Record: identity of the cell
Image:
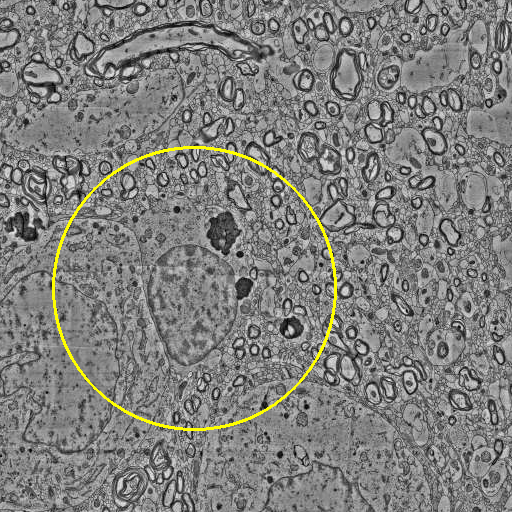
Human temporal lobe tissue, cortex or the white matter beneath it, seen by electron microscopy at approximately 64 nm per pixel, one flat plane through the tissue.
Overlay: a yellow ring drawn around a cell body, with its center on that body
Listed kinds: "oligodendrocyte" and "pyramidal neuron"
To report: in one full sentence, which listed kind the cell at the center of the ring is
In the image, the cell body at the ring's center belongs to an oligodendrocyte.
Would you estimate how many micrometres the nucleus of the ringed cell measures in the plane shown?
About 8 by 6 micrometers, in this plane.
